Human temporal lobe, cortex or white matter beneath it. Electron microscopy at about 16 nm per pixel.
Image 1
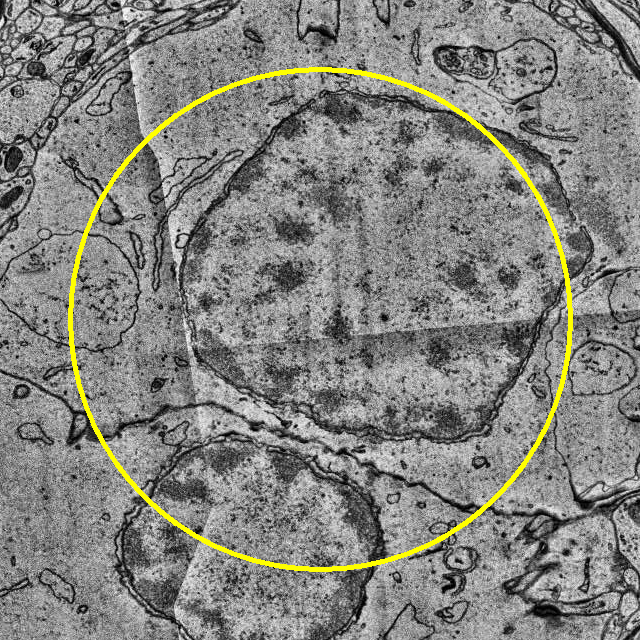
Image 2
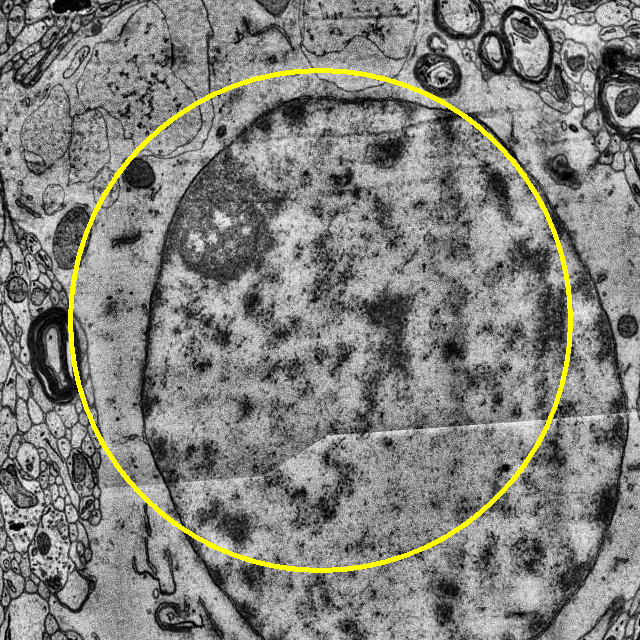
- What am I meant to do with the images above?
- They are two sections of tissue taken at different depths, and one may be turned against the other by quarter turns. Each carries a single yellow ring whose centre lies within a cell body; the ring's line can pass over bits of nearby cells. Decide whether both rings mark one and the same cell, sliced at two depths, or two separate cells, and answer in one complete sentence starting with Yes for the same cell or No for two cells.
No, the ringed cells are two separate cells.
